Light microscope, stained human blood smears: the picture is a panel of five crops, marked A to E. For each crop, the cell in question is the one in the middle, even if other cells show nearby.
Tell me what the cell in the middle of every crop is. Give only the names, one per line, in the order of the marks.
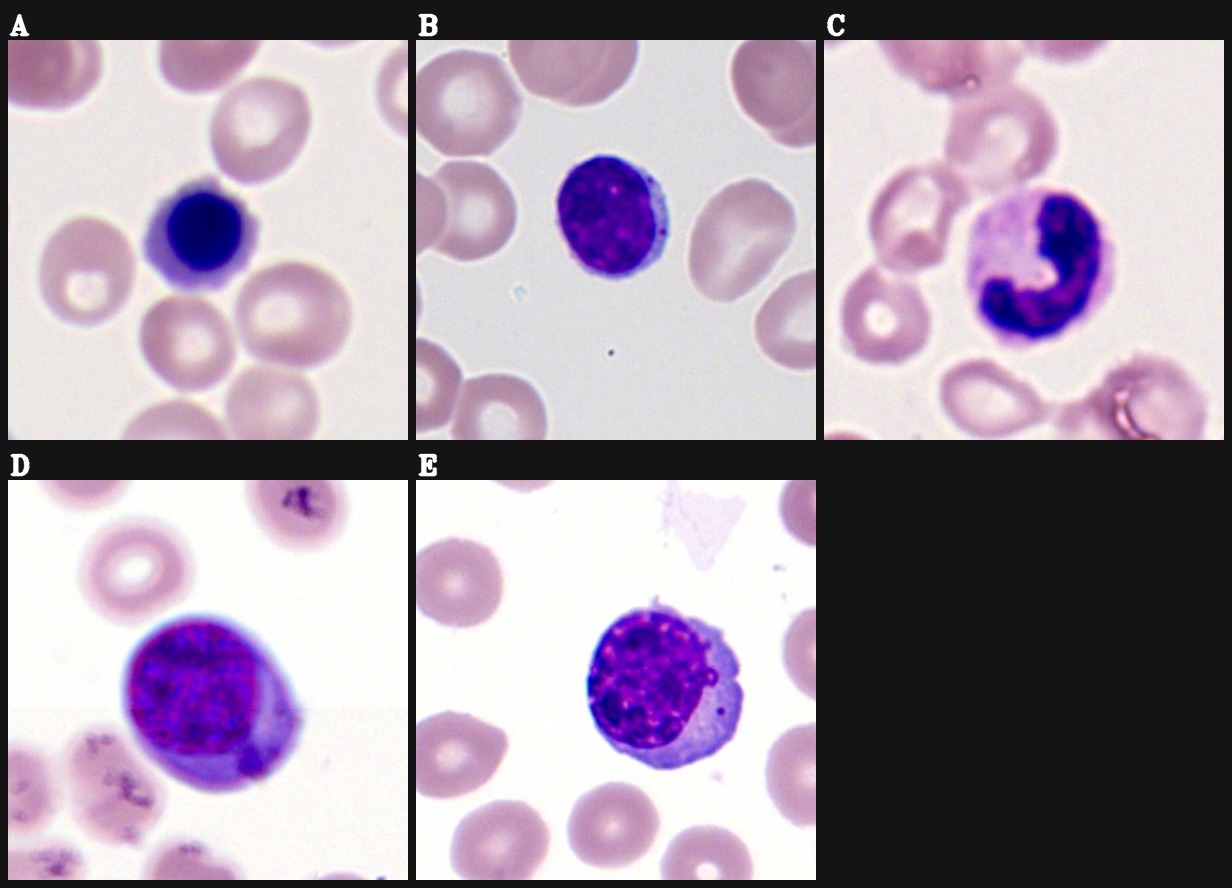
normoblast
lymphocyte
band neutrophil
lymphocyte
lymphocyte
